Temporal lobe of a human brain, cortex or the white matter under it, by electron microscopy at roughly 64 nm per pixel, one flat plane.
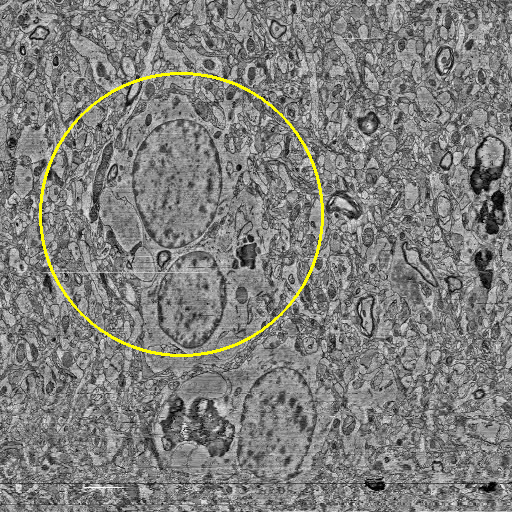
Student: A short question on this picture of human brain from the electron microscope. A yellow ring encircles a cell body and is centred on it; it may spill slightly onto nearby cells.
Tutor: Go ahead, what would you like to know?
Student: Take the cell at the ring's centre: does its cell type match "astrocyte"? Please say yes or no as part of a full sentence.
Yes, in the picture, the cell at the ring's centre has that cell type.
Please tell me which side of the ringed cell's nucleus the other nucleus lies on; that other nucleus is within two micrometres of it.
The other nucleus lies below it.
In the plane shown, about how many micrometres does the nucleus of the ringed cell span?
The nucleus works out at approximately 8 by 6 micrometres in this plane.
